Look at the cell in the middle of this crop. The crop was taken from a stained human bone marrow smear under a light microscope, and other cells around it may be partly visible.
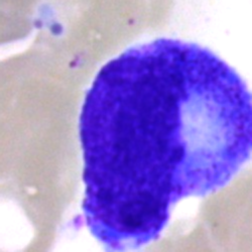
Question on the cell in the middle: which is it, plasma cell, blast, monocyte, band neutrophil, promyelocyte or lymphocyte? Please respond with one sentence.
In the crop, the cell of interest at the centre is a promyelocyte.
